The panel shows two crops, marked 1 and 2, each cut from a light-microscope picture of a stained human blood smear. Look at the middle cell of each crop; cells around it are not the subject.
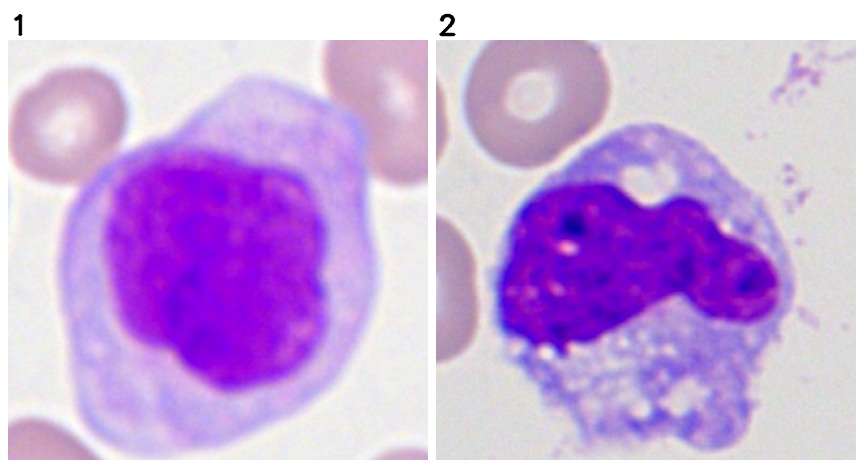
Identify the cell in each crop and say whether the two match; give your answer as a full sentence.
Yes, monocytes are the cells in the middle of both crops.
